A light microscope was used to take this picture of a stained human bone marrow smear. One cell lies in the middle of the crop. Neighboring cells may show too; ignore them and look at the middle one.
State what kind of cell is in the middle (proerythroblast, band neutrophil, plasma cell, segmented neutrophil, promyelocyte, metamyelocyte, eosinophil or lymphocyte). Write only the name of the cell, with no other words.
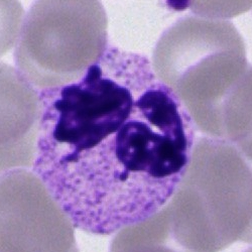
segmented neutrophil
